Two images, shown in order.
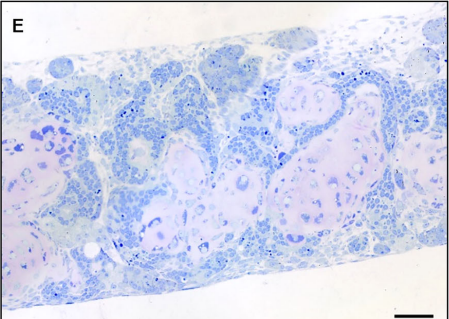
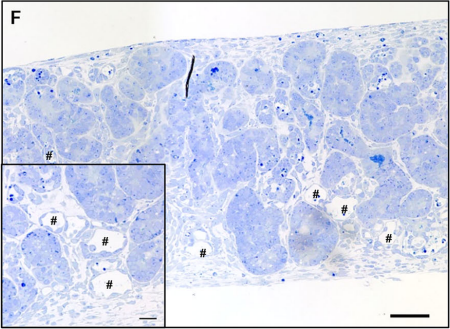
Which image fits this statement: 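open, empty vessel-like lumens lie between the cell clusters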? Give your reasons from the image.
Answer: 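Second image: several round clear lumens lie between cell clusters.
Hence: the second image.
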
